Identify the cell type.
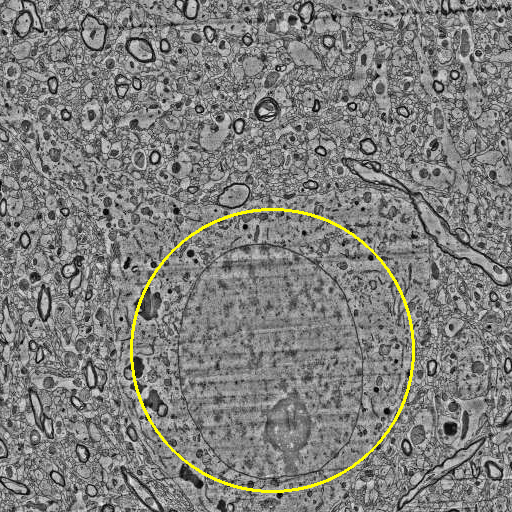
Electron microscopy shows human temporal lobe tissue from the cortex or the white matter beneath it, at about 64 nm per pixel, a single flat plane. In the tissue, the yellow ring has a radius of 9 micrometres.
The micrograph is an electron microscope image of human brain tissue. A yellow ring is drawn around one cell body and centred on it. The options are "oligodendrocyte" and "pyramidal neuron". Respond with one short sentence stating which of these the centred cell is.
The cell body in the ring belongs to a pyramidal neuron.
